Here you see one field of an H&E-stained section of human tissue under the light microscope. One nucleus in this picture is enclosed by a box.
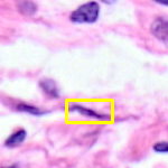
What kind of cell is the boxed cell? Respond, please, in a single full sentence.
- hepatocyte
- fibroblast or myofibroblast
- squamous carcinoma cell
In short, the boxed cell on this section is a fibroblast or myofibroblast.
